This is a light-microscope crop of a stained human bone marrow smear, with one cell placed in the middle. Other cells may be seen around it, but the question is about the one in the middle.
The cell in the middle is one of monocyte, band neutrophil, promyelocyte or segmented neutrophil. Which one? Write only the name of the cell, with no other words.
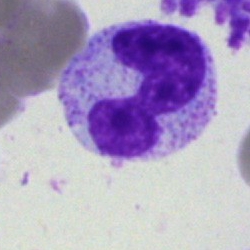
band neutrophil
